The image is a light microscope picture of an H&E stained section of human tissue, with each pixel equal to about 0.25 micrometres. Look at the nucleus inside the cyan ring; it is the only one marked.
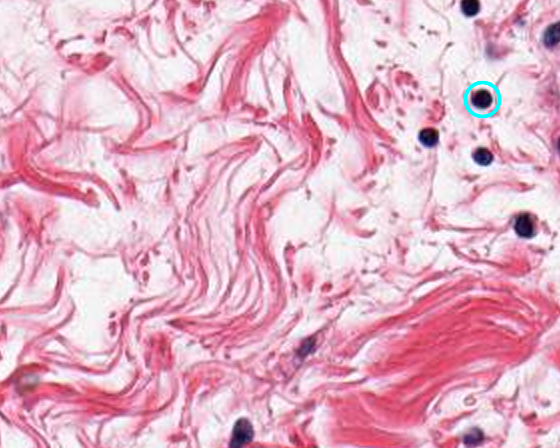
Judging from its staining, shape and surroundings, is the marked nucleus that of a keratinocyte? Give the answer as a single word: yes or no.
no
